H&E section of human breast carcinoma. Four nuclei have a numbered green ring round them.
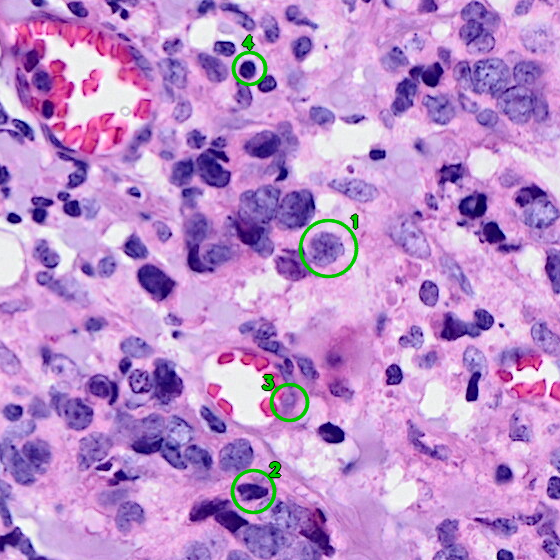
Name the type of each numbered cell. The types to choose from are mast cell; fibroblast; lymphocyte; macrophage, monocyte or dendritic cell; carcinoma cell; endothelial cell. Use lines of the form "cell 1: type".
cell 1: carcinoma cell
cell 2: carcinoma cell
cell 3: endothelial cell
cell 4: lymphocyte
